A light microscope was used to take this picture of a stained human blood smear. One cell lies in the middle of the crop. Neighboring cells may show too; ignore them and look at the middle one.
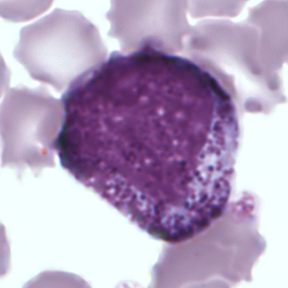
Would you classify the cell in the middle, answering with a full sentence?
In the center of this field lies a myelocyte.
